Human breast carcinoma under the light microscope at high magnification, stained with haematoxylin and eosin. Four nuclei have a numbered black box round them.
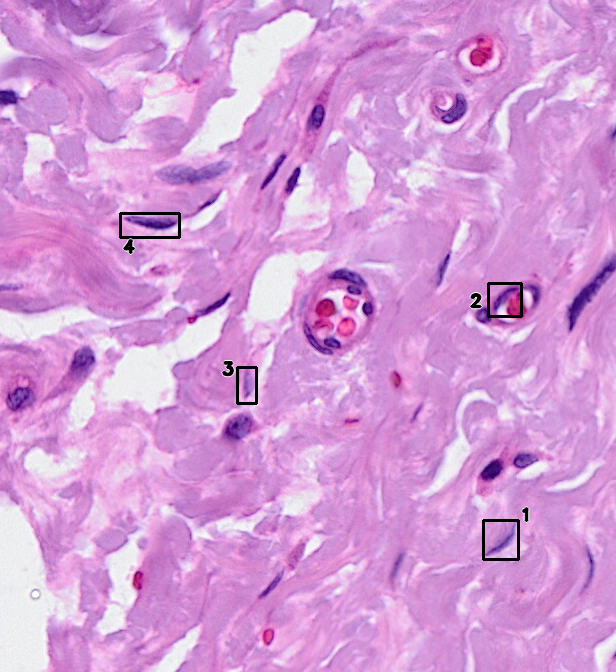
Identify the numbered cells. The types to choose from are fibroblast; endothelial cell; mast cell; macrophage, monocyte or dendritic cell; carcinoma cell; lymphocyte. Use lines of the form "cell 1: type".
cell 1: fibroblast
cell 2: endothelial cell
cell 3: fibroblast
cell 4: fibroblast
